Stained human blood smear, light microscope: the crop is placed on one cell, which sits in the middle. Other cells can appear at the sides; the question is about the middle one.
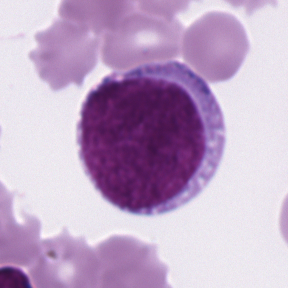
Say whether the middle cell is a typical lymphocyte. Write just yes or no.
no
